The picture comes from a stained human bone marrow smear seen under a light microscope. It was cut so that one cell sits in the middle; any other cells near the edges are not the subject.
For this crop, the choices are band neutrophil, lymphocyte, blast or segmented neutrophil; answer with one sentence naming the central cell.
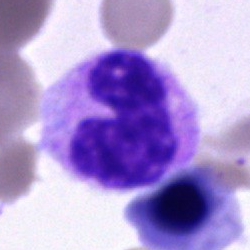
The middle of this crop holds a band neutrophil.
